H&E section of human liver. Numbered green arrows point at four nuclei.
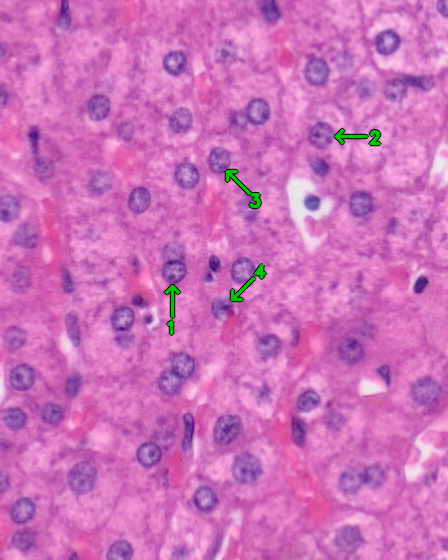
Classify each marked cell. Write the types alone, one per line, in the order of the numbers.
hepatocyte
hepatocyte
hepatocyte
endothelial cell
